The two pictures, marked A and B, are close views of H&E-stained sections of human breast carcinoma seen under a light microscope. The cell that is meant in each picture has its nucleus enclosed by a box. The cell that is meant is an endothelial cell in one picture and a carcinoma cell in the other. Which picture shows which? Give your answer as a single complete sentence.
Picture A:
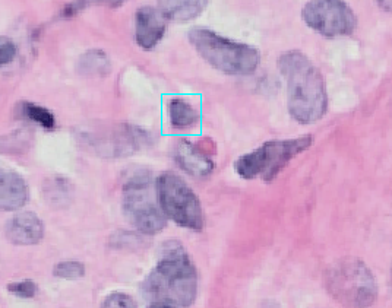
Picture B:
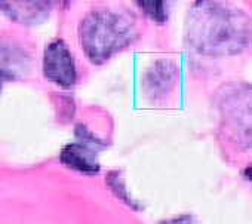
The cell in picture A is an endothelial cell, and the one in picture B is a carcinoma cell.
